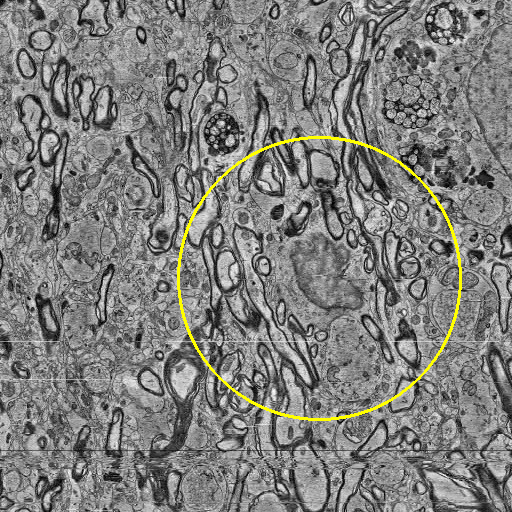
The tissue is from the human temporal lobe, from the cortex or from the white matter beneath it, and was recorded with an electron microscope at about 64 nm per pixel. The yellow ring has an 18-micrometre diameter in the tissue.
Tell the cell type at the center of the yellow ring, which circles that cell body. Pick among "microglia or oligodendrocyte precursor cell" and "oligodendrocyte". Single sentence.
The ring is centered on the body of an oligodendrocyte.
